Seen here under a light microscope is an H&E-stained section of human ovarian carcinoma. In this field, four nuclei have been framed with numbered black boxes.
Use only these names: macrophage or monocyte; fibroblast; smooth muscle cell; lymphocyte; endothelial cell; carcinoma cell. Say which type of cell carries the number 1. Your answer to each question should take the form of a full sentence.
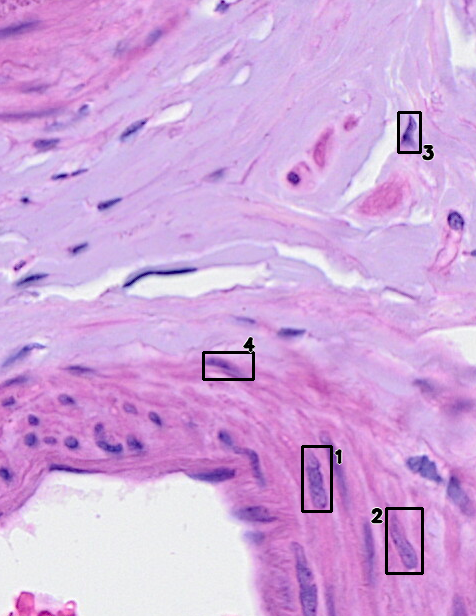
The correct answer for cell 1 is a smooth muscle cell.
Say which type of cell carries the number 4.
Looking at the numbered marks, cell 4 is a smooth muscle cell.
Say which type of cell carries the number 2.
Identified as a smooth muscle cell is the cell bearing the number 2.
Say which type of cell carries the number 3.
The one numbered 3 among the marked cells is a fibroblast.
